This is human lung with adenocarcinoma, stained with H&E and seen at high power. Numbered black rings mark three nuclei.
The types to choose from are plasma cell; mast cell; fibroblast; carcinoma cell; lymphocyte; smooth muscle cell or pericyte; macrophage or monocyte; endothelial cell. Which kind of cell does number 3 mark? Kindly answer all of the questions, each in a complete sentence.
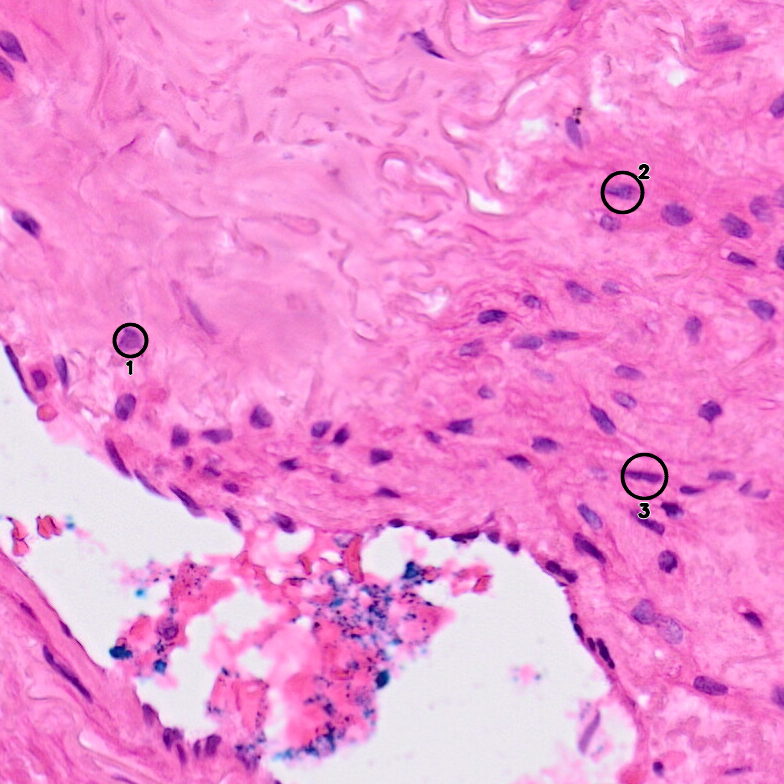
Regarding cell 3, this one is a smooth muscle cell or pericyte.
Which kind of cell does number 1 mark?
Here, the cell given the number 1 is a fibroblast.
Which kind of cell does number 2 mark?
Number 2 is placed on a smooth muscle cell or pericyte here.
